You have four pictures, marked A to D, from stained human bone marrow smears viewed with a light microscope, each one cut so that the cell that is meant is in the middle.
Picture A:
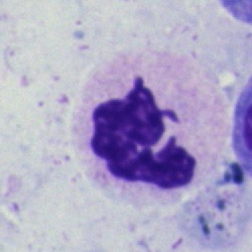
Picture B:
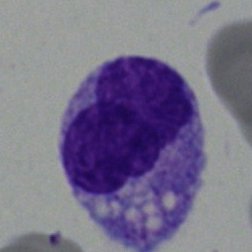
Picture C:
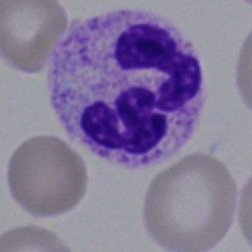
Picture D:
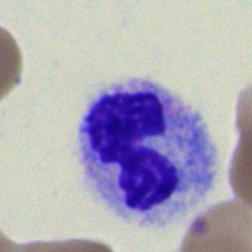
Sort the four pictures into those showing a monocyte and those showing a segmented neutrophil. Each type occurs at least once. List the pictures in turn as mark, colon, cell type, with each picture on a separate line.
A: segmented neutrophil
B: monocyte
C: segmented neutrophil
D: segmented neutrophil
